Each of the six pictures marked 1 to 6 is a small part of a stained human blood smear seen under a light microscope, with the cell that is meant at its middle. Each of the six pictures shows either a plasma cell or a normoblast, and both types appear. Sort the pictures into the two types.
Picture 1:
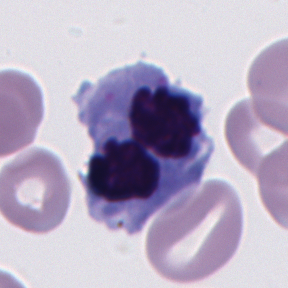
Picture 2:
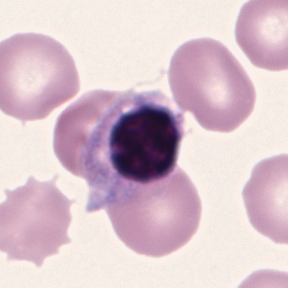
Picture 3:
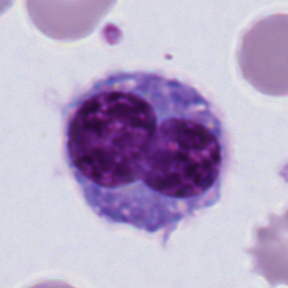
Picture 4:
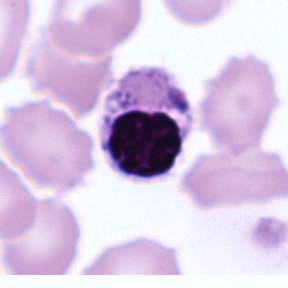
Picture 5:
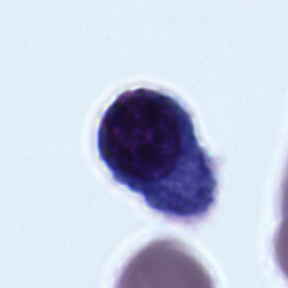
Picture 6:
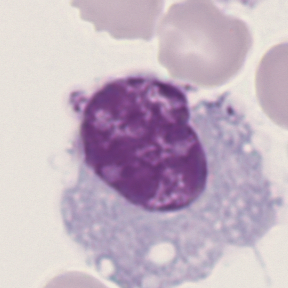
1: normoblast
2: normoblast
3: plasma cell
4: normoblast
5: plasma cell
6: plasma cell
